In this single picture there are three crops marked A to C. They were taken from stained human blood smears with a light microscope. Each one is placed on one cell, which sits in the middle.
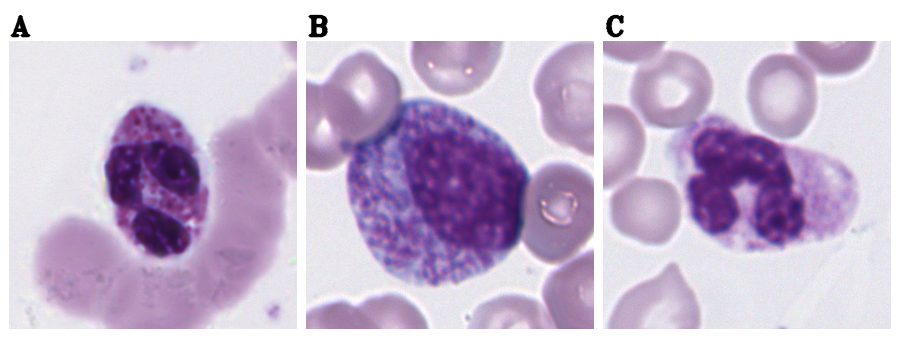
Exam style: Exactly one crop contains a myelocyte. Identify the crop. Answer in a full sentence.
It is crop B, not any other, that shows a myelocyte.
